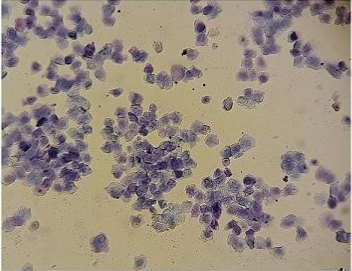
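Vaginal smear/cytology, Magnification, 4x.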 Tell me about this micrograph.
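The cells are large, flat and polygonal, with irregular angular edges, and stain pale to medium purple. Most show no distinct round nucleus. They are packed together in crowded clumps and sheets, with fewer cells lying singly in the pale background between the clusters. Small round leukocytes are essentially absent.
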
